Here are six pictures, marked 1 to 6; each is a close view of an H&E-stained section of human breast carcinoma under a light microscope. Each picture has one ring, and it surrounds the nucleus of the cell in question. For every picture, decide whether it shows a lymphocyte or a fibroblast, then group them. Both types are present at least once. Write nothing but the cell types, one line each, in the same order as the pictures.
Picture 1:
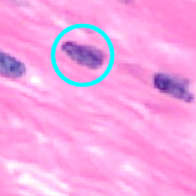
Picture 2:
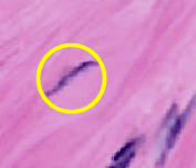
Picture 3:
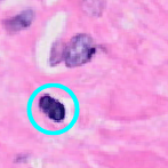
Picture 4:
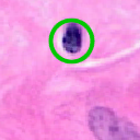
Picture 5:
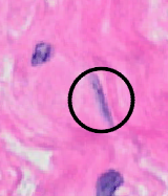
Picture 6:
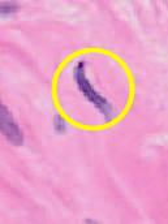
lymphocyte
fibroblast
lymphocyte
lymphocyte
fibroblast
fibroblast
